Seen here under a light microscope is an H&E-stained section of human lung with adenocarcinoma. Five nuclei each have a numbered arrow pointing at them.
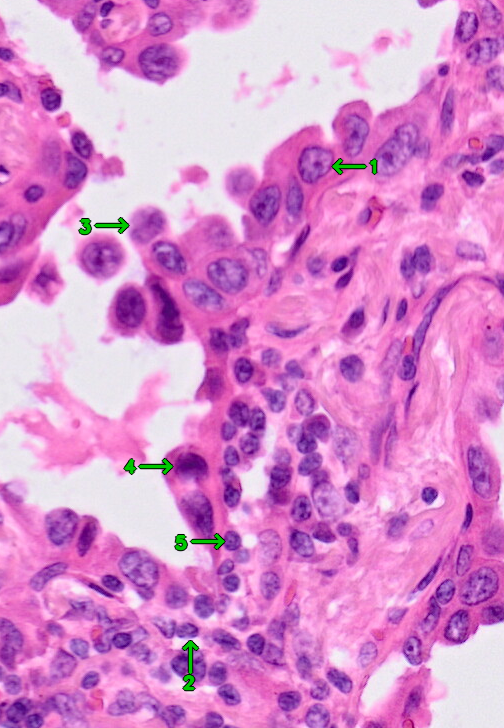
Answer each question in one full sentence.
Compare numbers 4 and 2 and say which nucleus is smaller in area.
It is nucleus 2; nucleus 4 has about 3 times its area.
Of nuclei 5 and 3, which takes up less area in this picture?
It is nucleus 5; nucleus 3 has about 3 times its area.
